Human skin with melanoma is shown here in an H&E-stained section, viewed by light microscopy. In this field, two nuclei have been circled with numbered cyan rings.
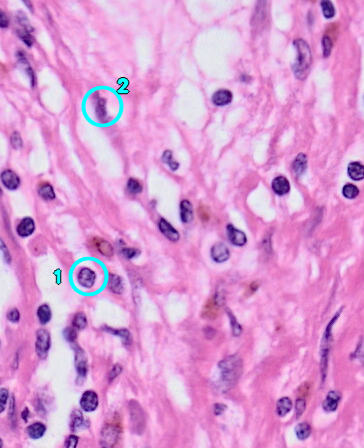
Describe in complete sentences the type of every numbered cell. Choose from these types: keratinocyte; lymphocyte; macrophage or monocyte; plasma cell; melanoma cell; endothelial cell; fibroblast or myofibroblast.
Cell 1 is a lymphocyte and cell 2 is a fibroblast or myofibroblast.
